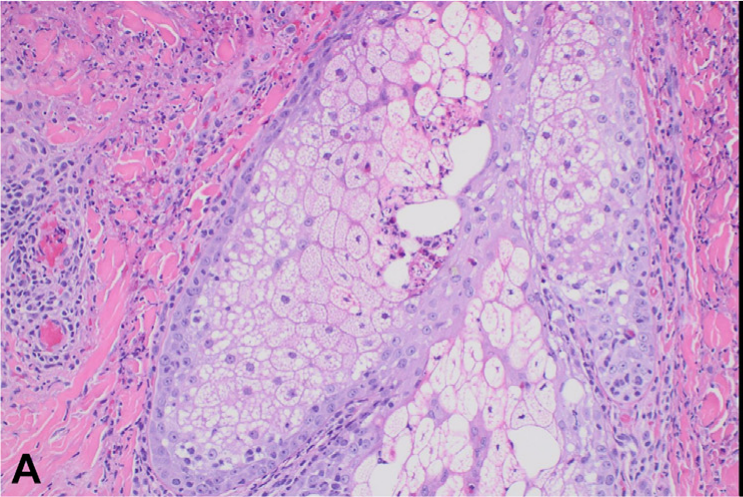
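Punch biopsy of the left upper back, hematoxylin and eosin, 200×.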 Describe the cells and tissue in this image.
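A sebaceous lobule of the pilosebaceous unit fills the centre. Its large pale cells have bubbly, vacuolated cytoplasm and small central nuclei, and a thin layer of smaller basophilic cells rims it. Clear spaces within it hold clusters of small inflammatory cells with red granular cytoplasm, and pink collagen with scattered inflammatory cells lies around it.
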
